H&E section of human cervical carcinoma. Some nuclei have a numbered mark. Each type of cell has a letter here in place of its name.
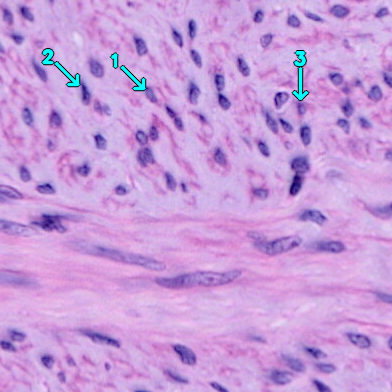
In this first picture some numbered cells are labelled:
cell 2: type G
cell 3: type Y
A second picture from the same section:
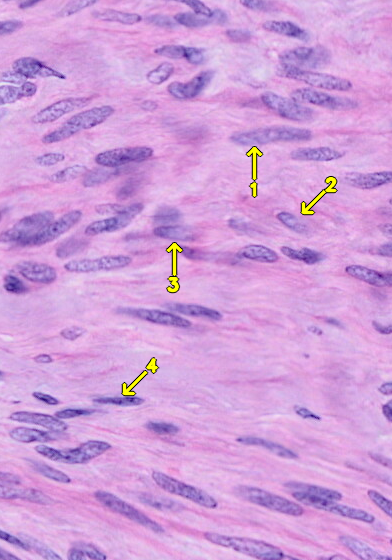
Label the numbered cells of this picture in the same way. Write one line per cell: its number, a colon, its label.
1: type Y
2: type Y
3: type Y
4: type G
